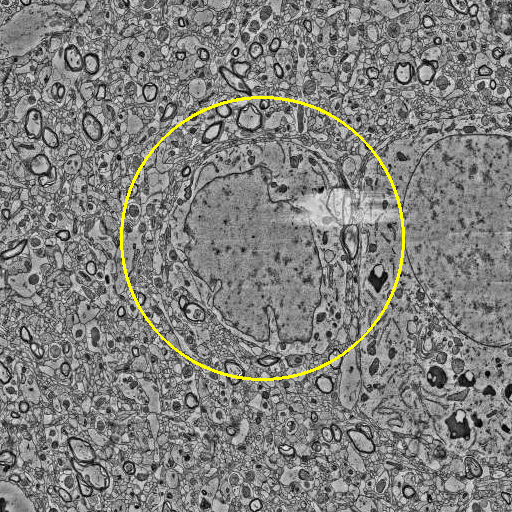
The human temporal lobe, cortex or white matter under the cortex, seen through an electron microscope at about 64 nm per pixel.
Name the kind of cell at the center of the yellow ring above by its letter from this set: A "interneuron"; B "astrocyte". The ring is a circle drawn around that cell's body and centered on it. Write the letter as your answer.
A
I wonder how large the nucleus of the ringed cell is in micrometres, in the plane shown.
In this plane, the nucleus is roughly 12 by 8 micrometres.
